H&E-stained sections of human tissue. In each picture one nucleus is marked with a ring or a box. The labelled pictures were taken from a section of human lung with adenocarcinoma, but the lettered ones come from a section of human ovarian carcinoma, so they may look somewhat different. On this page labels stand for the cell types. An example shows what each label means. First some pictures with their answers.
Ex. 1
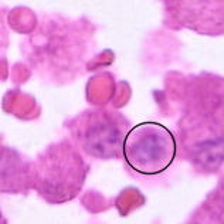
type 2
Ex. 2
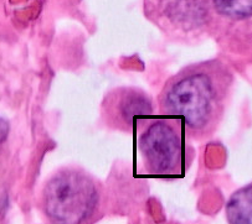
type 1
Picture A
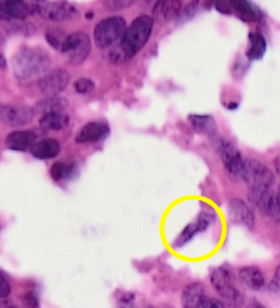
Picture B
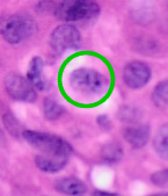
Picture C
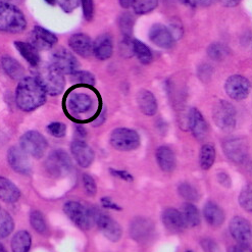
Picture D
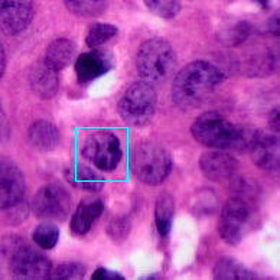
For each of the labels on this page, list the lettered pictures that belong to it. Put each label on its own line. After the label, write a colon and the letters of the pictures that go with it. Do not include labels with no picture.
type 2: A, B, C, D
